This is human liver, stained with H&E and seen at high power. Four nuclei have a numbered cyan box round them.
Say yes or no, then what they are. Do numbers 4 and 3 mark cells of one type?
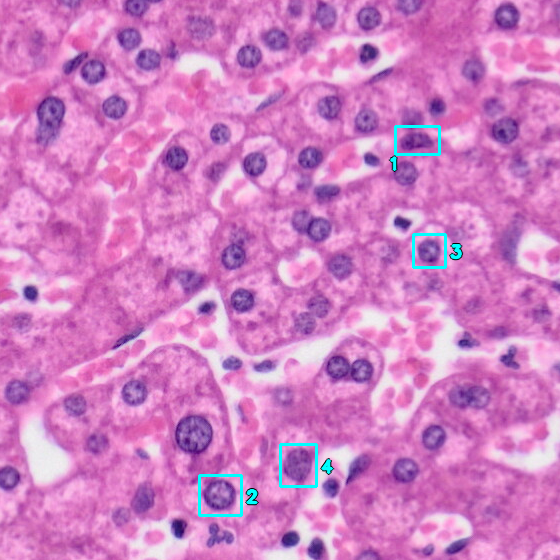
Yes, both of the numbered cells concerned, 4 and 3, are hepatocytes.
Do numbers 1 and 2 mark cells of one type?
No, cell 1 is a Kupffer cell, with cell 2 being a hepatocyte.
